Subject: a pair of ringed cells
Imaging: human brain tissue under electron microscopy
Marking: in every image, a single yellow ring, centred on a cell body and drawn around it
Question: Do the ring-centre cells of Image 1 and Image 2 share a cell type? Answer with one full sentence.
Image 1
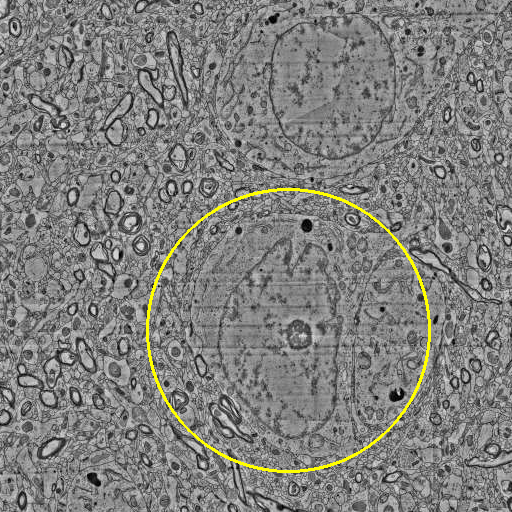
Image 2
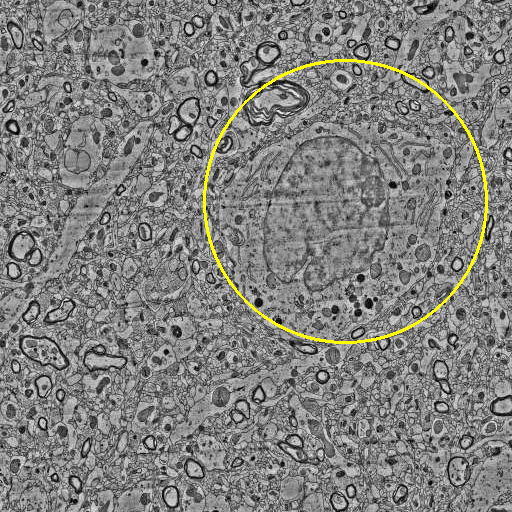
Yes, at each ring's centre in the images sits a cell of one common type.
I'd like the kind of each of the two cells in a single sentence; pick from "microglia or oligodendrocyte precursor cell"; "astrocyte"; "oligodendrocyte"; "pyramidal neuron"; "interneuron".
Each one of the two ringed cells is an interneuron.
